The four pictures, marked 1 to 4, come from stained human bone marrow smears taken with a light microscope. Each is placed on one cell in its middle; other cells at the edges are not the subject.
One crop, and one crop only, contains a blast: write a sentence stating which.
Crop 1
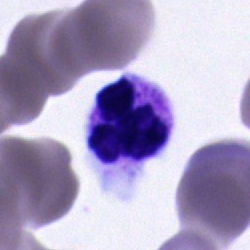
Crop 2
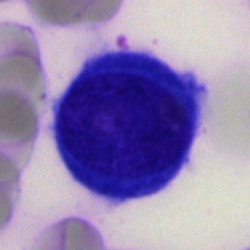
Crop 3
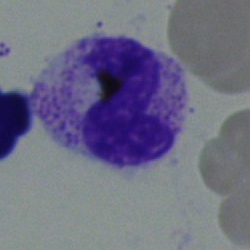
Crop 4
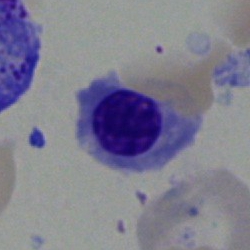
Within this set, crop 2 is the one with a blast at its center.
